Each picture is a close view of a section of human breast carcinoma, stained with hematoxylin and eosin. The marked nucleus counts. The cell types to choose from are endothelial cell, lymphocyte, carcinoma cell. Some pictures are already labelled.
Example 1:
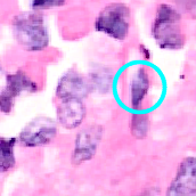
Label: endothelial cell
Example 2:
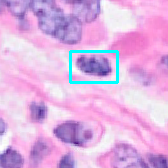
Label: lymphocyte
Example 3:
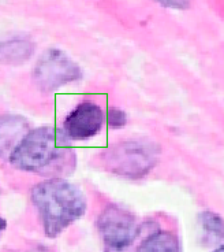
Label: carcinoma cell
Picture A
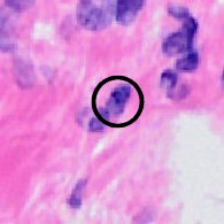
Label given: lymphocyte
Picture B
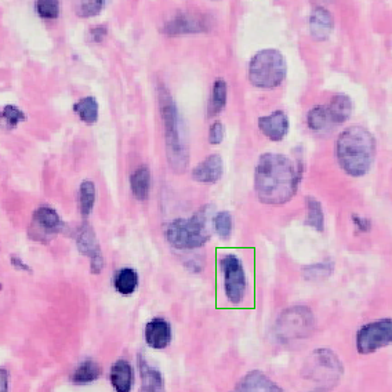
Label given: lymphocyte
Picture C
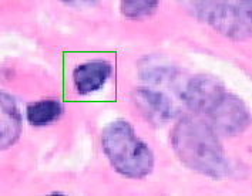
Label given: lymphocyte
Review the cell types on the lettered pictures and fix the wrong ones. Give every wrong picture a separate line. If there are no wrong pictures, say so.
Every label is right.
